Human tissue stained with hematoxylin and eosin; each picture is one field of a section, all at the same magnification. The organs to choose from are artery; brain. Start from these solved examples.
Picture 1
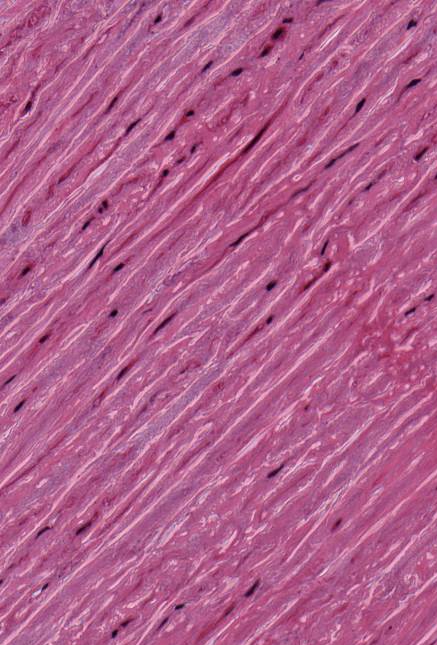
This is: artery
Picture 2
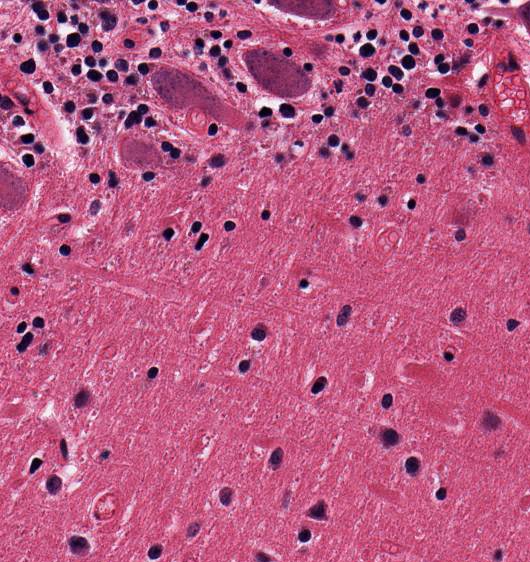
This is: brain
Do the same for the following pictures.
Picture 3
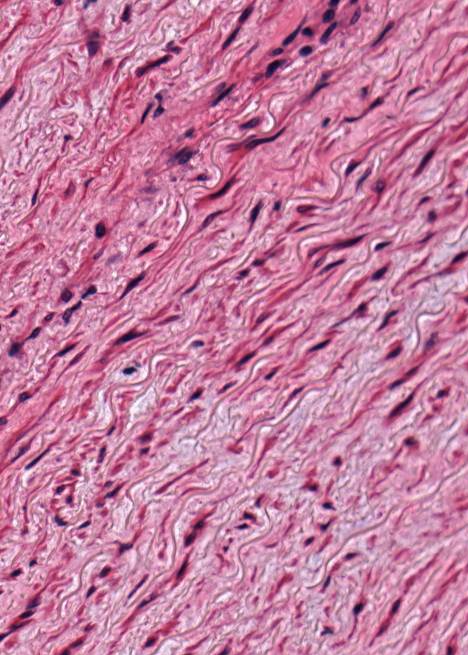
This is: artery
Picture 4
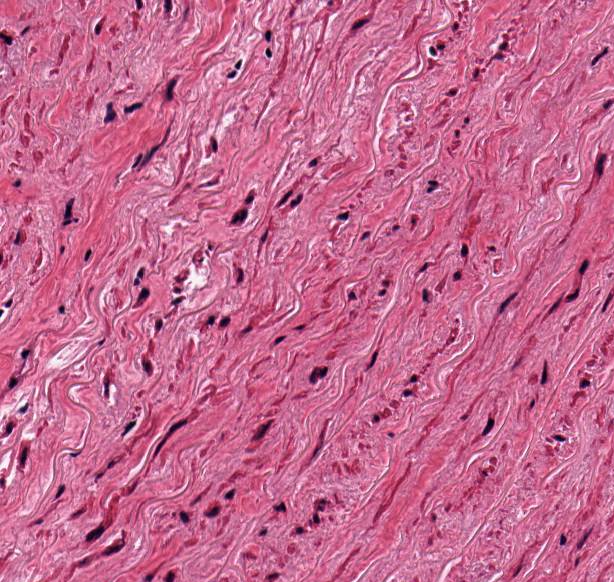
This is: artery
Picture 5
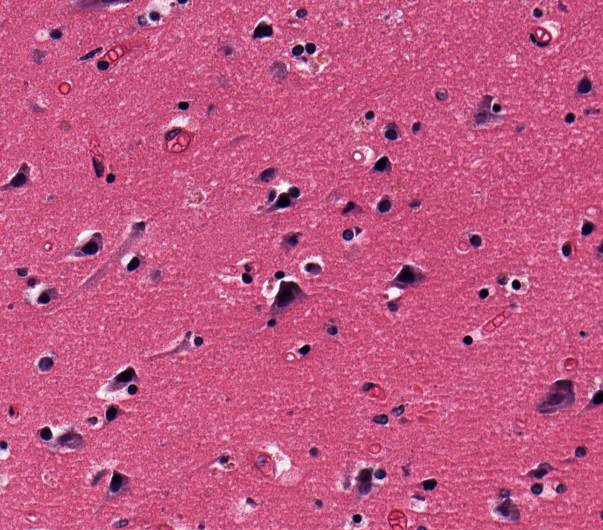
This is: brain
